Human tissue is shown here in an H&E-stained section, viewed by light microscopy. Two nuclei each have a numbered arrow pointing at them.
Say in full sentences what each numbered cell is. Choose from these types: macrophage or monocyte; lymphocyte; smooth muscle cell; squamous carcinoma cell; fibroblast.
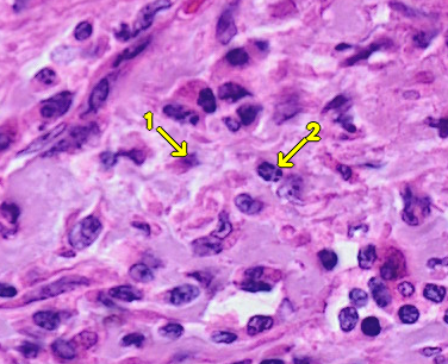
Cell 1 is a fibroblast. Cell 2 is a lymphocyte.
